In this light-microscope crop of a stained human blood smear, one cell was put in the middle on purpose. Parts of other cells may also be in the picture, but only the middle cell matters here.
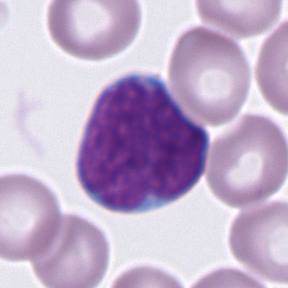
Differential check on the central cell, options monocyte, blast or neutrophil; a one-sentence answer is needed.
Of the cells in this crop, the central one is a blast.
